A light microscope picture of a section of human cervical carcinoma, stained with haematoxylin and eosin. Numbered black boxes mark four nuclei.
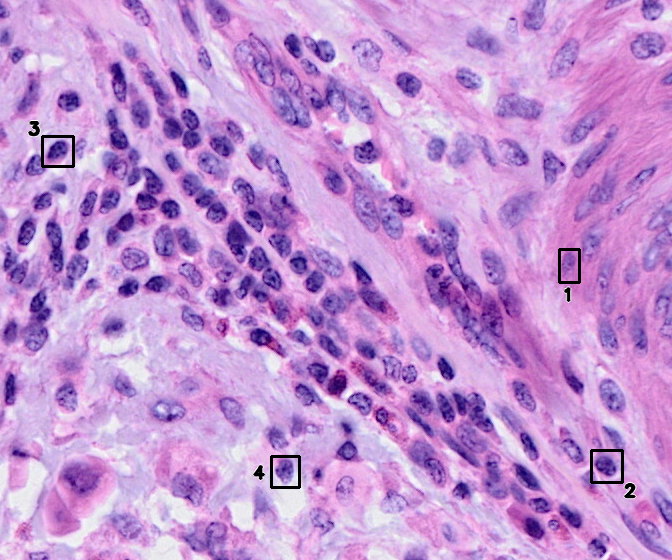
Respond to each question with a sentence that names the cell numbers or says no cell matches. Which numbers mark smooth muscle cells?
Cell 1 is a smooth muscle cell, and that holds for no other numbered cell.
